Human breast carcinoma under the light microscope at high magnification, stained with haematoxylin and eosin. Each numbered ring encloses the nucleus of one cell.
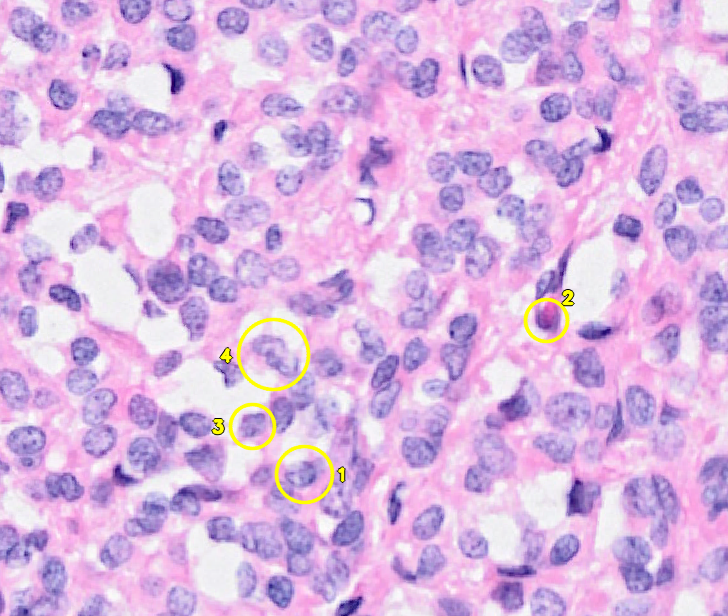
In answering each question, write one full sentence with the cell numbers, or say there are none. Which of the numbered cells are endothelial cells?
Only the cell numbered 2 is an endothelial cell; none of the others is.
